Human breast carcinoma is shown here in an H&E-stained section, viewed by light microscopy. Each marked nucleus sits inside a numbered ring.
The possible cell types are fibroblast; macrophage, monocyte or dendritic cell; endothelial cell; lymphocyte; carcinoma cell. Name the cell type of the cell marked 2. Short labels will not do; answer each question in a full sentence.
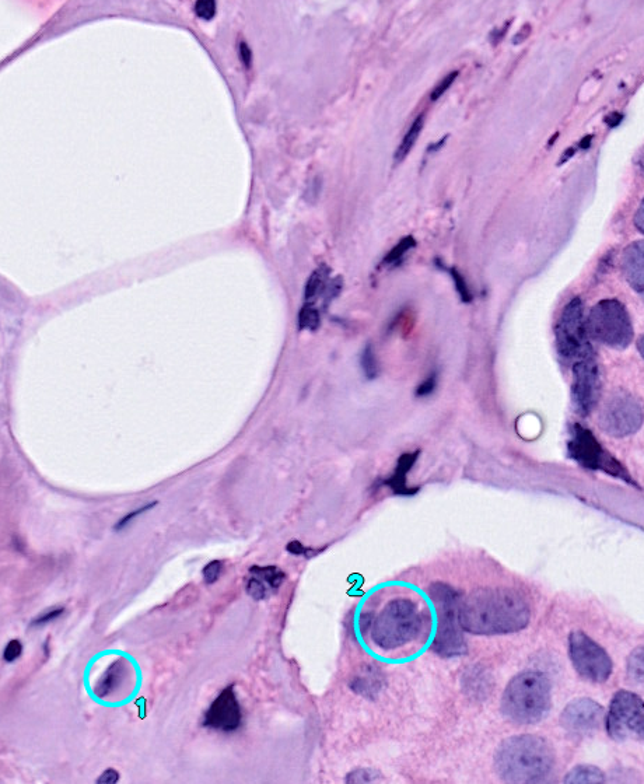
Among the marked nuclei, number 2 belongs to a carcinoma cell.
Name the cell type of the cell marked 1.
The one labeled 1 is a fibroblast, to put it simply.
